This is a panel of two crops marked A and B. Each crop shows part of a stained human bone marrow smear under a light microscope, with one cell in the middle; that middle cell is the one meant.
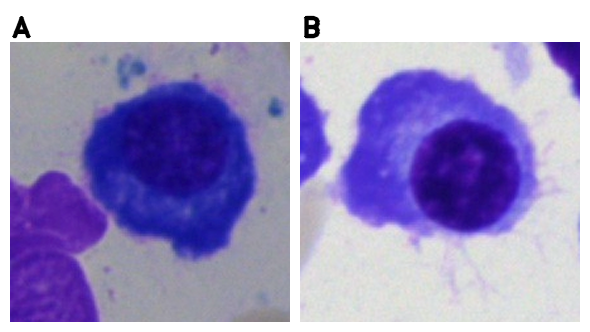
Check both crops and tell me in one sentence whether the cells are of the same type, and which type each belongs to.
Yes, that is right, both crops show plasma cells.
